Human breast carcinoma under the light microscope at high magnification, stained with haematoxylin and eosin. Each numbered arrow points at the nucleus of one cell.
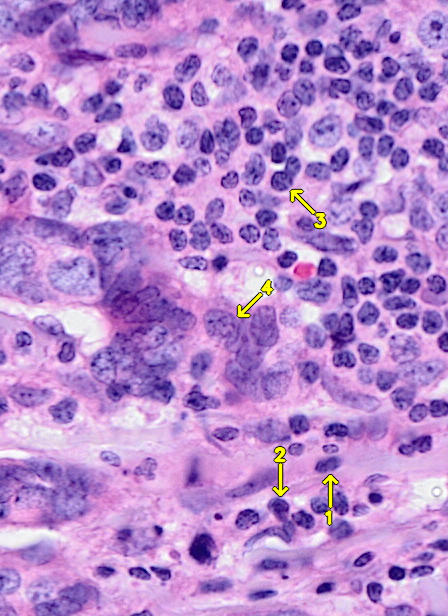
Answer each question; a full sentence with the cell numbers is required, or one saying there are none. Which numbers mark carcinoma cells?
Cell 4 is a carcinoma cell; every other numbered cell is something else.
